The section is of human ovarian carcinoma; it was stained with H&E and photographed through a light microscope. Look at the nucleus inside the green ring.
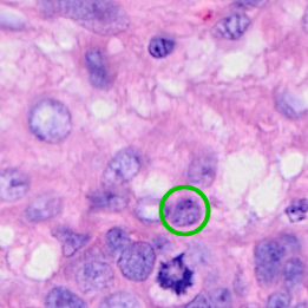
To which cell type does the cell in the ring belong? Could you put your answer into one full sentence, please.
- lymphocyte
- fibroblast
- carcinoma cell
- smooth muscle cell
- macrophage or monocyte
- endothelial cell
Among the cells in this section, the cell in the ring is a macrophage or monocyte.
